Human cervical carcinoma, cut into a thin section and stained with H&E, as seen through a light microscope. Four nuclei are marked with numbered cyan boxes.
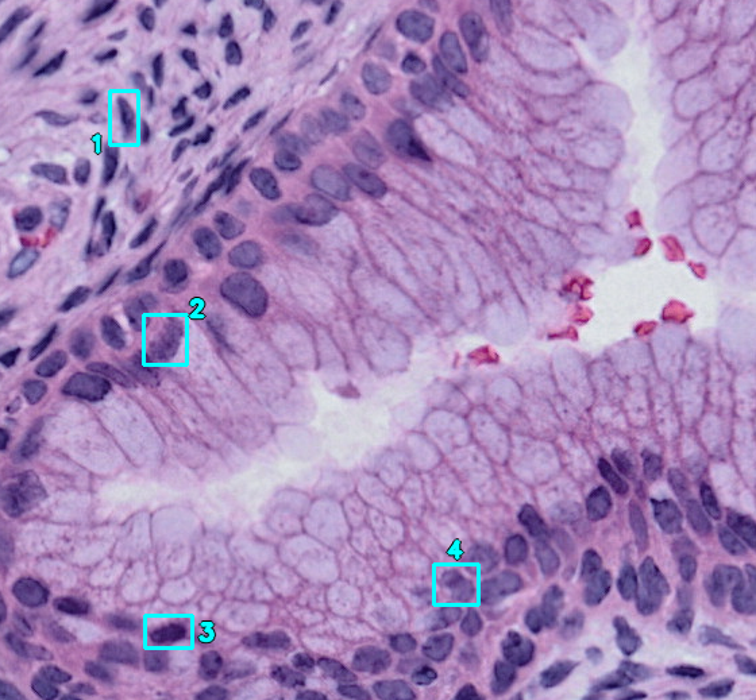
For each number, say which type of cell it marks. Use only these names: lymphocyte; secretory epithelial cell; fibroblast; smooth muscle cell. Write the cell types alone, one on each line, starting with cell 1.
fibroblast
secretory epithelial cell
secretory epithelial cell
secretory epithelial cell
